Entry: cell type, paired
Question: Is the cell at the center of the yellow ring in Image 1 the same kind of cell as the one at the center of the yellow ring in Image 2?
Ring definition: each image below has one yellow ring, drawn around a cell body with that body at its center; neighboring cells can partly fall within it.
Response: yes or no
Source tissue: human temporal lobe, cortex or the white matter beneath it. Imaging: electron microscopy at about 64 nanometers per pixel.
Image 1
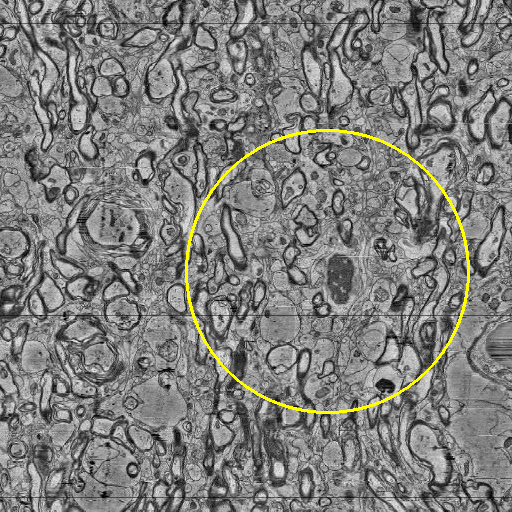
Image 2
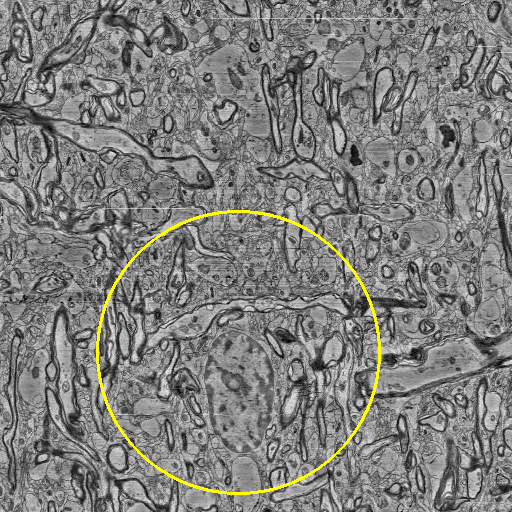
yes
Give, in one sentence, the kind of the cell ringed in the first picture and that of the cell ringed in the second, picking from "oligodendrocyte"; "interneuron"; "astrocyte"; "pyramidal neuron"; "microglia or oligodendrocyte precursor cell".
Each of the two rings surrounds a microglial cell or oligodendrocyte precursor cell.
